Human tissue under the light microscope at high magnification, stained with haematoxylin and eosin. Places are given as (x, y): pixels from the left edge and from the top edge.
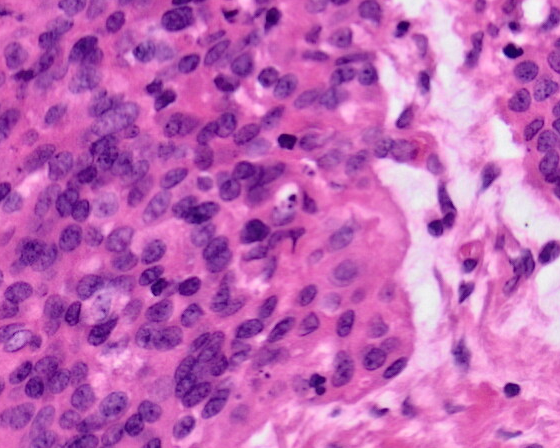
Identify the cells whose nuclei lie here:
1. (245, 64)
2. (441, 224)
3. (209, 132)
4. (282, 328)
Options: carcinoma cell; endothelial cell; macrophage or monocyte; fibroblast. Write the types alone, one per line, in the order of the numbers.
carcinoma cell
macrophage or monocyte
carcinoma cell
carcinoma cell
